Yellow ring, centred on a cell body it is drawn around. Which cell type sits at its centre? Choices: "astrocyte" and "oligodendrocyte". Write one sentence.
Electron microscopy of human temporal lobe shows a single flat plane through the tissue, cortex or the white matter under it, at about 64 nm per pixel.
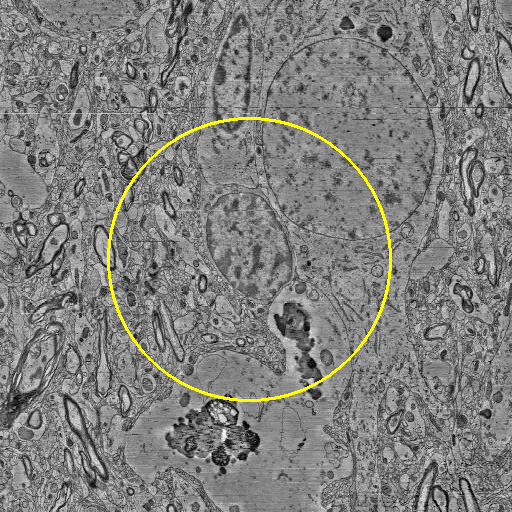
At the centre of the ring sits an oligodendrocyte.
